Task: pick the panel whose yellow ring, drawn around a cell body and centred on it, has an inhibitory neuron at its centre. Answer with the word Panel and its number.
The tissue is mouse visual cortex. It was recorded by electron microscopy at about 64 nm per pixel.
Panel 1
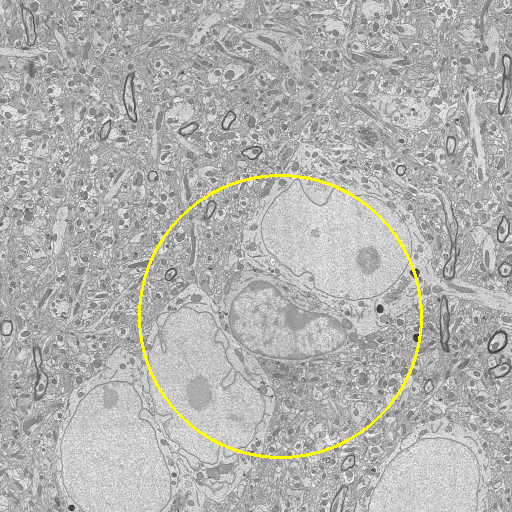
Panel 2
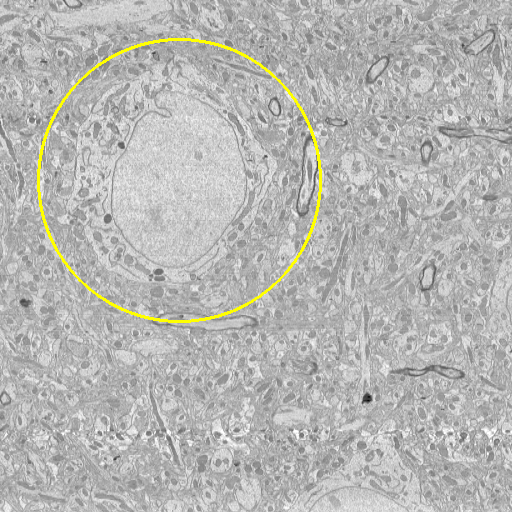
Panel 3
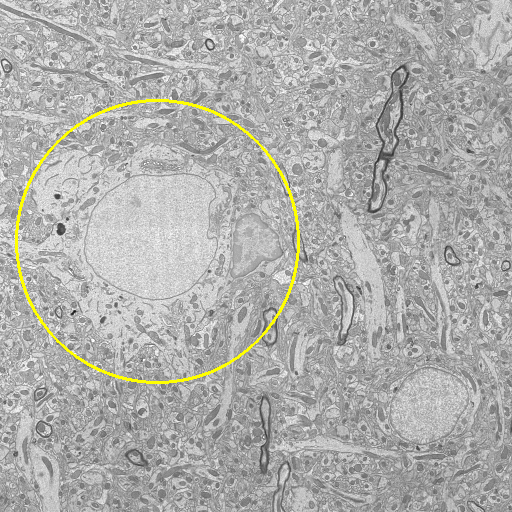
Panel 2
